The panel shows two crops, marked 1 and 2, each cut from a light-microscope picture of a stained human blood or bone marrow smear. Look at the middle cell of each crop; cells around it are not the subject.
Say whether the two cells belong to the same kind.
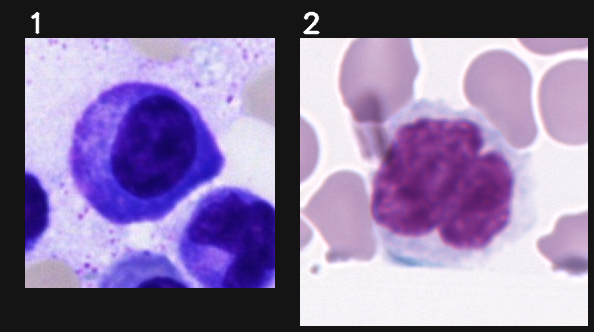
no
